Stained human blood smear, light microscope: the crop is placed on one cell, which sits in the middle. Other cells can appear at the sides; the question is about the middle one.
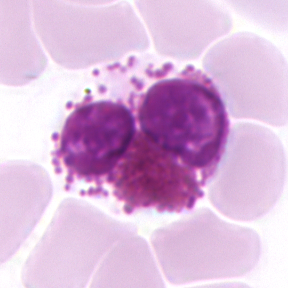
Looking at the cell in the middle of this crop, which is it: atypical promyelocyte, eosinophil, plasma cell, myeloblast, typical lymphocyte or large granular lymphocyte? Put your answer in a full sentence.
The center cell of this crop is an eosinophil.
